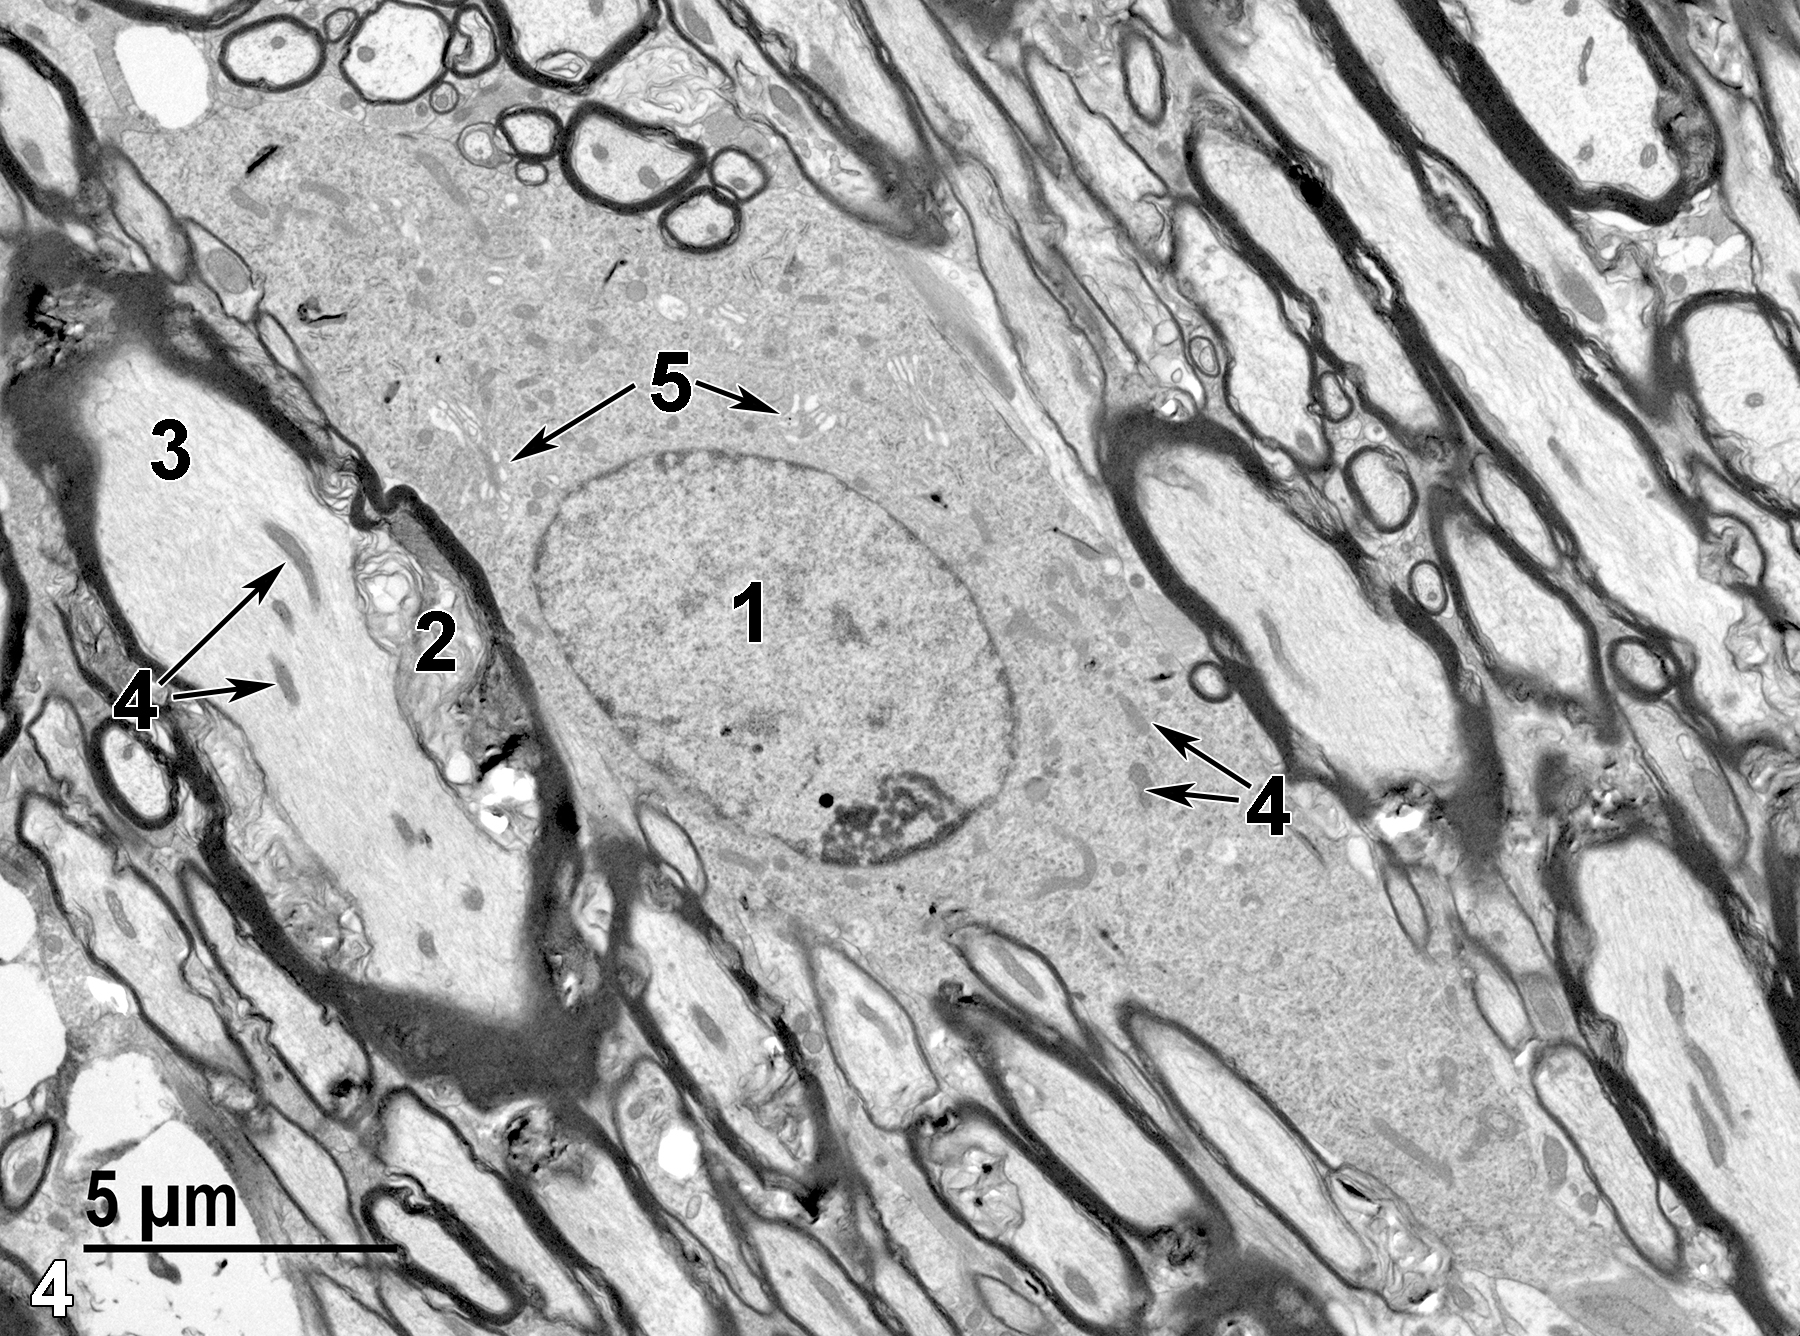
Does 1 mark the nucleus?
Yes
